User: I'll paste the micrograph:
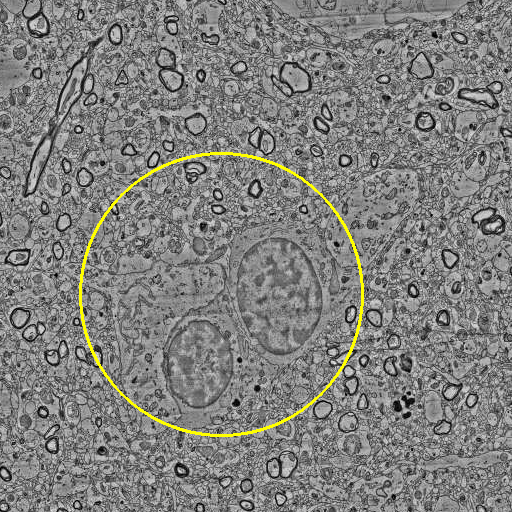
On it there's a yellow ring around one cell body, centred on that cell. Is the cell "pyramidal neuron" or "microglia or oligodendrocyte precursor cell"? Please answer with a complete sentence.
The cell ringed in yellow is a pyramidal neuron.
